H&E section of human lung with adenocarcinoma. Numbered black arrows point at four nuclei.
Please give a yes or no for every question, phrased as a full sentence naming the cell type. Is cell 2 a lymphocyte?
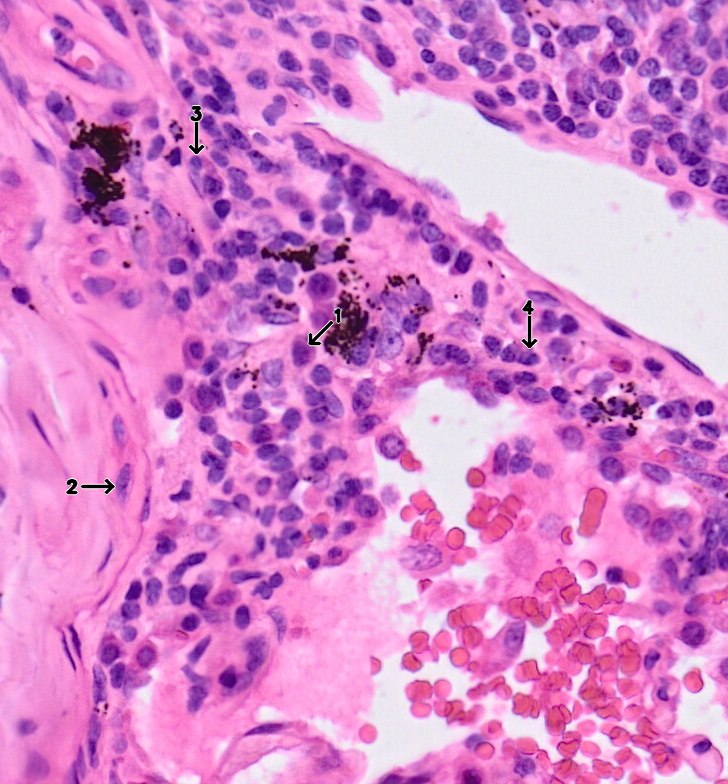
No, cell 2 is a smooth muscle cell or pericyte; it is not a lymphocyte.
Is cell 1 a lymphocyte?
No, the right label for cell 1 is a plasma cell rather than a lymphocyte.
